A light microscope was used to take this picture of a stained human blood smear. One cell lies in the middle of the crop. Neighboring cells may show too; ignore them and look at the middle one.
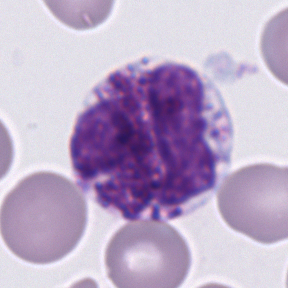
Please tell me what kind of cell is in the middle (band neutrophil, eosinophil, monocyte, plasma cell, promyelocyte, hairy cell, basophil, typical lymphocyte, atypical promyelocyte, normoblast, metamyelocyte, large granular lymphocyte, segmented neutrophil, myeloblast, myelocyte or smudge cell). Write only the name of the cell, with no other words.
basophil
